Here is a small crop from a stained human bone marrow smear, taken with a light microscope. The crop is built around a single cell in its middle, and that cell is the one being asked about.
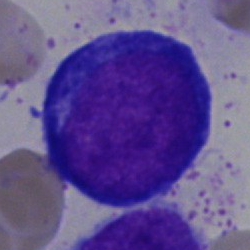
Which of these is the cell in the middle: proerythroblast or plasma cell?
proerythroblast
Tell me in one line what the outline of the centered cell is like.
The border of this cell runs smooth and free of any projections.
